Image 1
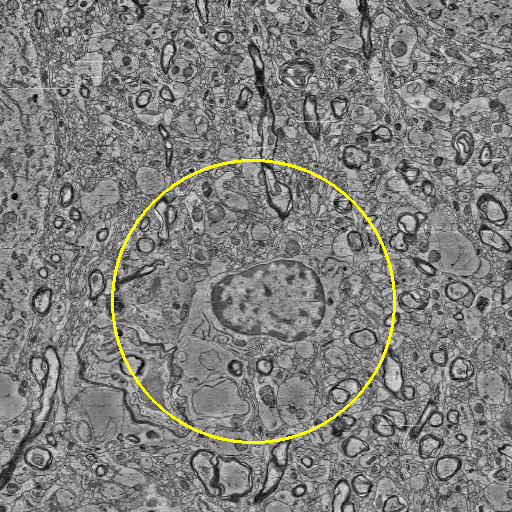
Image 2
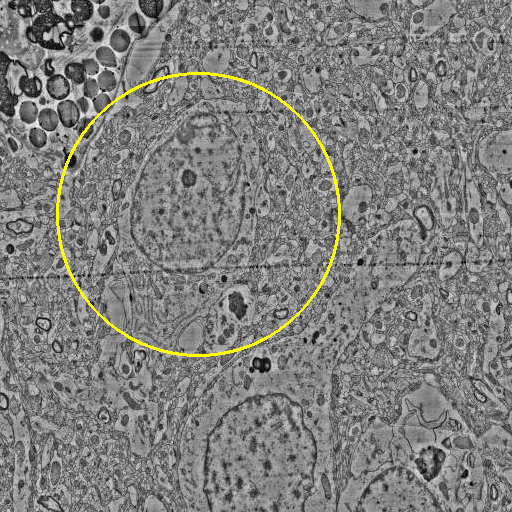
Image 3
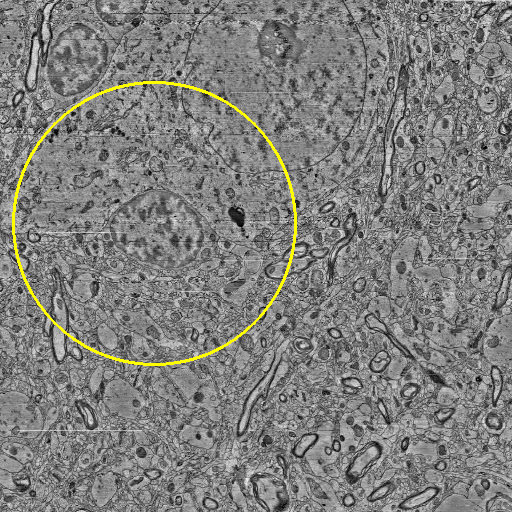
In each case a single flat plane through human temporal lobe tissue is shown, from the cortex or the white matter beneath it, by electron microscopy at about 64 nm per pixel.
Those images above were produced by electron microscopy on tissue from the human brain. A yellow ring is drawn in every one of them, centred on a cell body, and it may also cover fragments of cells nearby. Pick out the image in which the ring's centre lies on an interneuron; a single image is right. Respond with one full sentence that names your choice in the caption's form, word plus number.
Image 2 is my choice: its ring is centred on the requested cell.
